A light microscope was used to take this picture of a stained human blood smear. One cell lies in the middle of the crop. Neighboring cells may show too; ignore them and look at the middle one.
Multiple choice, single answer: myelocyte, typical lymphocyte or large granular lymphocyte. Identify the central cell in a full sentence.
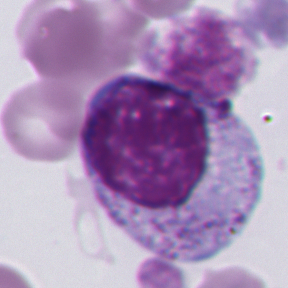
The cell of interest, in the center, is a myelocyte.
